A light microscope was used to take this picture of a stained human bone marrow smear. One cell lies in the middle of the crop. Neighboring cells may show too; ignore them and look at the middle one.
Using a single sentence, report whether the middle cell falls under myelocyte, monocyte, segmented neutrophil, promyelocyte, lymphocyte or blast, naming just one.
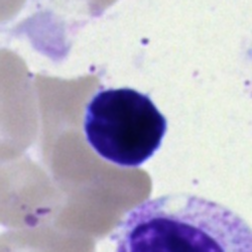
The cell in the middle of the field of view is a lymphocyte.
